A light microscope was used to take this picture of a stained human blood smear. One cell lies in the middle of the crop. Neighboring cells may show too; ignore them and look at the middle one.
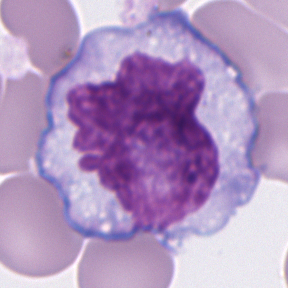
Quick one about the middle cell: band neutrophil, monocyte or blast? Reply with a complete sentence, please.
Centrally within this crop lies a monocyte.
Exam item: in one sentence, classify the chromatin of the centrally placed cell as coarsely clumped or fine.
The chromatin remains finely textured, with no coarse clumps to speak of.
